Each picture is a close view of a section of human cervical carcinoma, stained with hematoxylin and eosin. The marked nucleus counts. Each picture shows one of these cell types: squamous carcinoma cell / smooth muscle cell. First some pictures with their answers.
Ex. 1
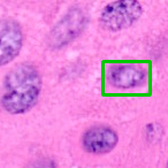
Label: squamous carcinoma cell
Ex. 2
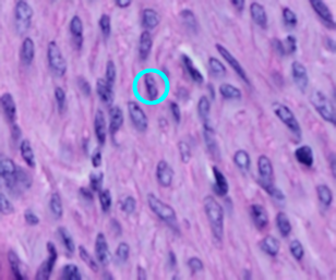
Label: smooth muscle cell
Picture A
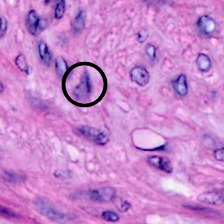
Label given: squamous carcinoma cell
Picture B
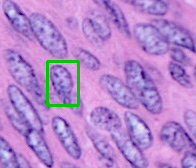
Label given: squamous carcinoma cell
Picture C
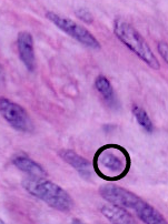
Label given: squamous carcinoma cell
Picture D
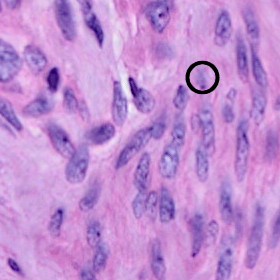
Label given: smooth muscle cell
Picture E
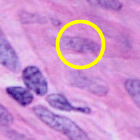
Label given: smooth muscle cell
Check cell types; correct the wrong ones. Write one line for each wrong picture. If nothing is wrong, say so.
A: change squamous carcinoma cell to smooth muscle cell
C: change squamous carcinoma cell to smooth muscle cell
